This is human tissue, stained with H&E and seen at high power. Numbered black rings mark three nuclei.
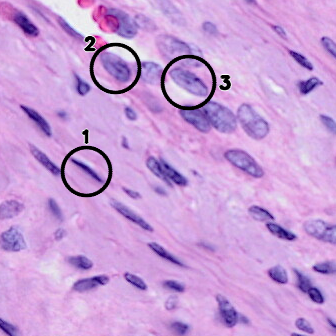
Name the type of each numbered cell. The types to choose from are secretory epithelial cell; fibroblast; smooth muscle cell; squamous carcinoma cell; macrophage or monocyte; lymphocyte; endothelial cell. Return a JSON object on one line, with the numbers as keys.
{"1": "fibroblast", "2": "endothelial cell", "3": "endothelial cell"}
